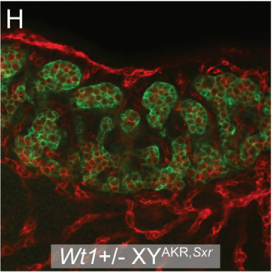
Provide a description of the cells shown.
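Testicular tissue with cords that are crowded and irregular in outline. Red vessels run along the surface and between some cords.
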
